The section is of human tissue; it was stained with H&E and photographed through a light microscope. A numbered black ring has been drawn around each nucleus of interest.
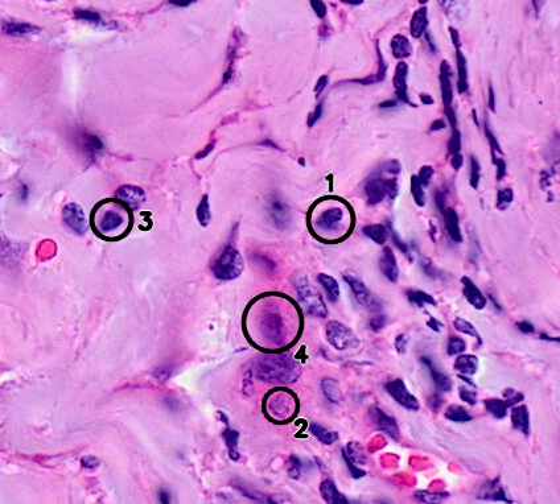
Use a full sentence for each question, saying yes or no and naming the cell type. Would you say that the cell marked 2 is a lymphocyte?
No, cell number 2 is an endothelial cell; it is not a lymphocyte.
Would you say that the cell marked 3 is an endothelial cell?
No, calling cell 3 an endothelial cell is incorrect; it is a lymphocyte.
